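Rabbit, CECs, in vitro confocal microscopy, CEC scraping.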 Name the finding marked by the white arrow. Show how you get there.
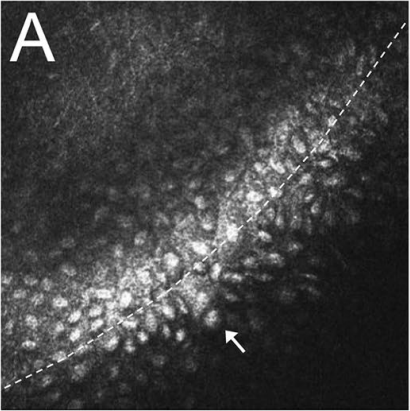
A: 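Elongated shape. Cells near the arrow are stretched and oval rather than round or polygonal. They lie along the edge of the bright cell-covered band.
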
